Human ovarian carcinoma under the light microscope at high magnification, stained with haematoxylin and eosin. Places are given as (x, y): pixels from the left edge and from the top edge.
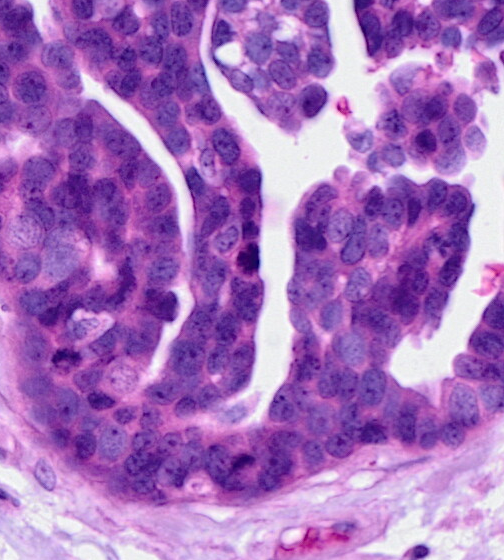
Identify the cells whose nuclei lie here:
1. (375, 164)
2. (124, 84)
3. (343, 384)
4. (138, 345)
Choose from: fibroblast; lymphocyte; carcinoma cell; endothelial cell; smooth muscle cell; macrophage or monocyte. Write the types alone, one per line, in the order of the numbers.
macrophage or monocyte
carcinoma cell
carcinoma cell
carcinoma cell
